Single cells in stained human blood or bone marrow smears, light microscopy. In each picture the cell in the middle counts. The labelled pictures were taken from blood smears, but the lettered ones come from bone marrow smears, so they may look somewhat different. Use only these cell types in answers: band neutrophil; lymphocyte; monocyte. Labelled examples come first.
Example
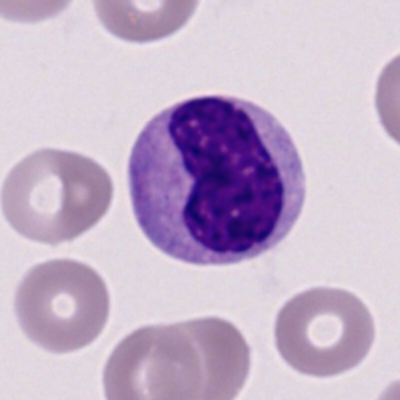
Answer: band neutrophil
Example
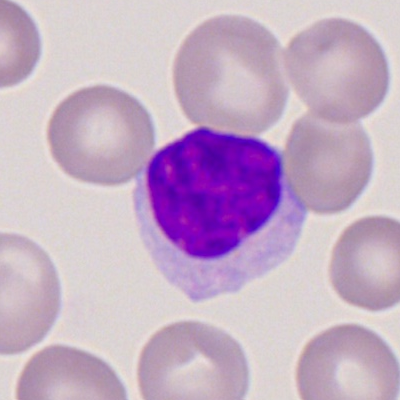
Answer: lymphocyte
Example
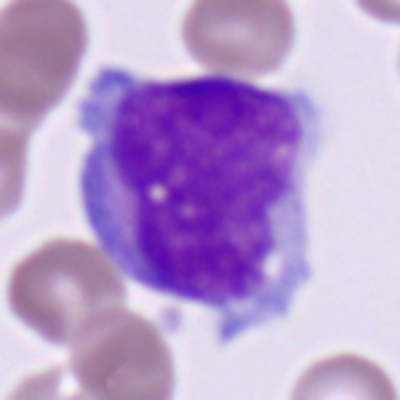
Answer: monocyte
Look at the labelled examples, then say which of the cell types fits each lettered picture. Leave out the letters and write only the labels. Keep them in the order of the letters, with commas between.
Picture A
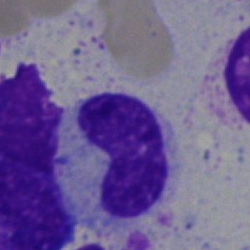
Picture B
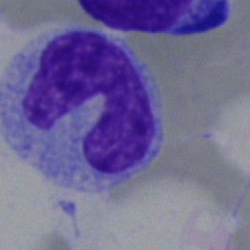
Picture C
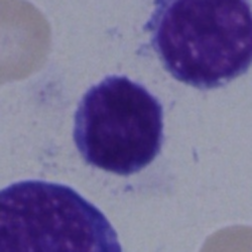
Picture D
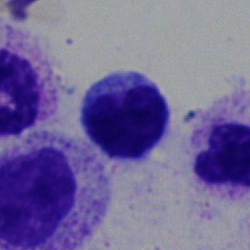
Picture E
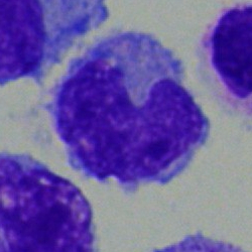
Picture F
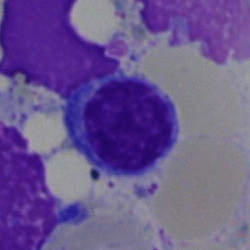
band neutrophil, monocyte, lymphocyte, lymphocyte, monocyte, lymphocyte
